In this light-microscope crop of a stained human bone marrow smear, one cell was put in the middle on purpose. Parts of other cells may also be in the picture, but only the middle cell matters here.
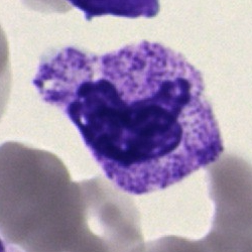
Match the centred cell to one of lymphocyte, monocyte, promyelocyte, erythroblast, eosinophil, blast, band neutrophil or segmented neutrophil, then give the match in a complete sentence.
The middle position in this crop is taken by a segmented neutrophil.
